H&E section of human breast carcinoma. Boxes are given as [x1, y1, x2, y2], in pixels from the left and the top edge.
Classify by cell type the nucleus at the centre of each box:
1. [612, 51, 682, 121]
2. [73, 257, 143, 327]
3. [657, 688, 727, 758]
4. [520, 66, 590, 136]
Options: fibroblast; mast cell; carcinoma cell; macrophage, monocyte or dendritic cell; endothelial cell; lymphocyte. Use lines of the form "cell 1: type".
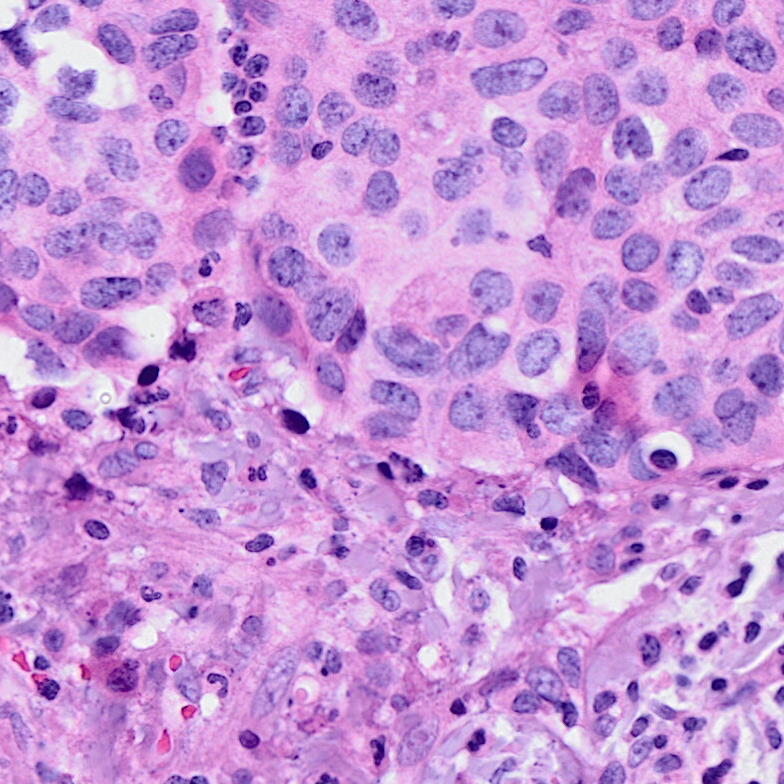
cell 1: carcinoma cell
cell 2: carcinoma cell
cell 3: lymphocyte
cell 4: carcinoma cell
